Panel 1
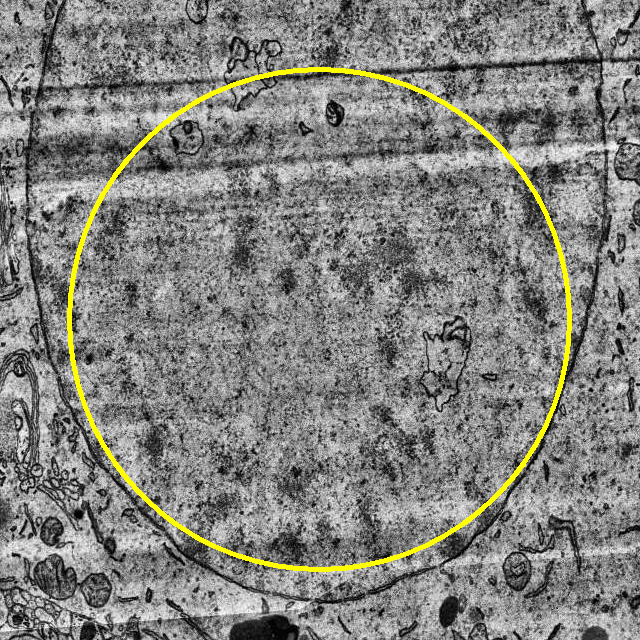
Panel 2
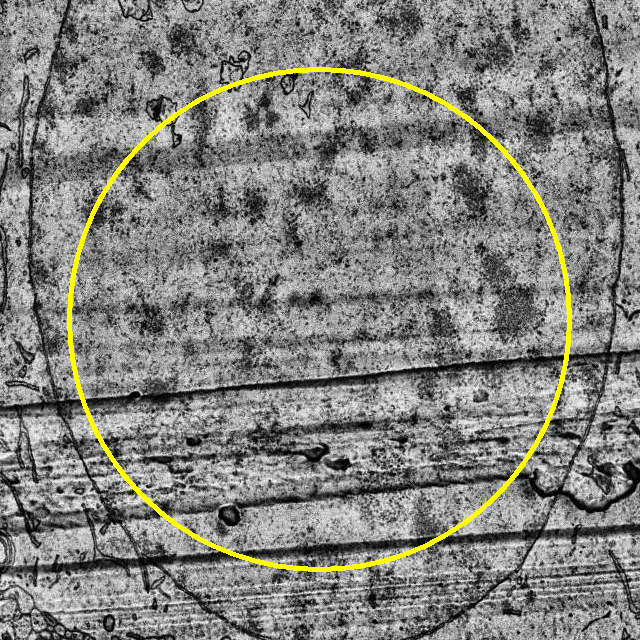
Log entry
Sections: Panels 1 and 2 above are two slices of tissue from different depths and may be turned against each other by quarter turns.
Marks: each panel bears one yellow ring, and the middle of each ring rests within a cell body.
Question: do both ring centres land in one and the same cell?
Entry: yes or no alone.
yes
